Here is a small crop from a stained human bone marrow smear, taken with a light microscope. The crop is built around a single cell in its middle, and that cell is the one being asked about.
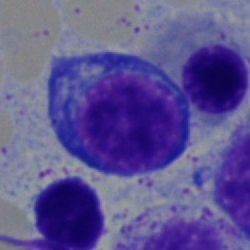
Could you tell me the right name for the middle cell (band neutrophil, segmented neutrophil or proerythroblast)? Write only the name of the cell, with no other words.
proerythroblast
